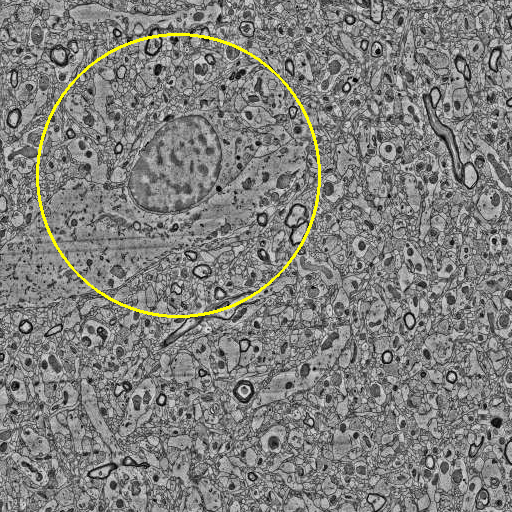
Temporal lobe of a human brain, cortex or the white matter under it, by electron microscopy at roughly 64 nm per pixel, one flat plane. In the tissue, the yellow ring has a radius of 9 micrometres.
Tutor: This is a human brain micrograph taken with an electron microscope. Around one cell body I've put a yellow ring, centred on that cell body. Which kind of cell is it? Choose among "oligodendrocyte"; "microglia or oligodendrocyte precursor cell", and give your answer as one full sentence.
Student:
Going by your list, the cell centred in the yellow ring is an oligodendrocyte.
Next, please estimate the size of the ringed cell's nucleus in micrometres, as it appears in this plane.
Roughly 7 by 5 micrometres is the size of the nucleus in this plane.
